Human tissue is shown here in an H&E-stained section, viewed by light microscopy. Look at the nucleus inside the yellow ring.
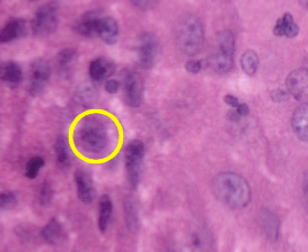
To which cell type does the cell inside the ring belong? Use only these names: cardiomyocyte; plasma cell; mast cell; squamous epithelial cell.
squamous epithelial cell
